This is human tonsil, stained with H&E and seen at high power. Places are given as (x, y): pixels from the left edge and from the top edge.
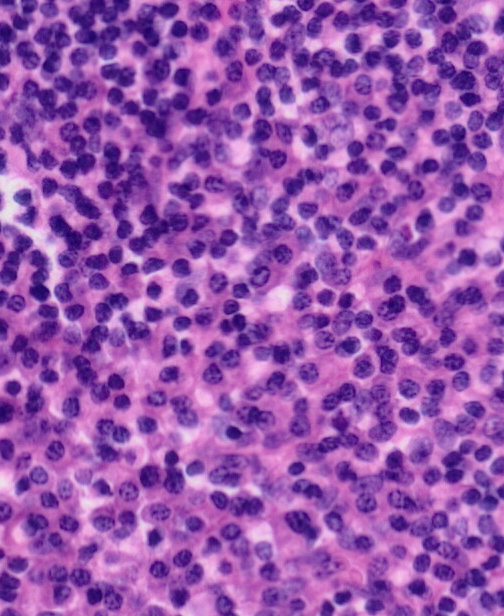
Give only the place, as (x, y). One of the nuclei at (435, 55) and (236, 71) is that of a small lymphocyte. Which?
(435, 55)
